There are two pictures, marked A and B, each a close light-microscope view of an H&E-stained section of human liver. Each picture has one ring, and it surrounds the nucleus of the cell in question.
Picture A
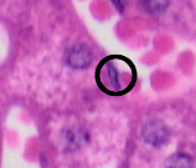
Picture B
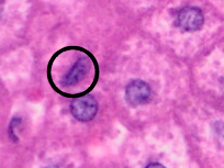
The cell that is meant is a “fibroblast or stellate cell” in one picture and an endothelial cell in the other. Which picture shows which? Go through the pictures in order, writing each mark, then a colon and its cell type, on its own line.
A: endothelial cell
B: fibroblast or stellate cell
